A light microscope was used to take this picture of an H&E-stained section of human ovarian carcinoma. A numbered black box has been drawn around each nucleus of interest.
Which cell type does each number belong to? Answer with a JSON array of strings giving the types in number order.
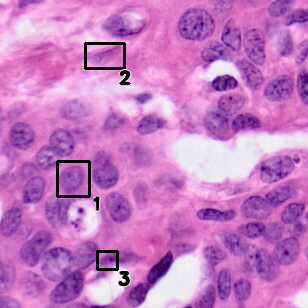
["carcinoma cell", "fibroblast", "carcinoma cell"]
